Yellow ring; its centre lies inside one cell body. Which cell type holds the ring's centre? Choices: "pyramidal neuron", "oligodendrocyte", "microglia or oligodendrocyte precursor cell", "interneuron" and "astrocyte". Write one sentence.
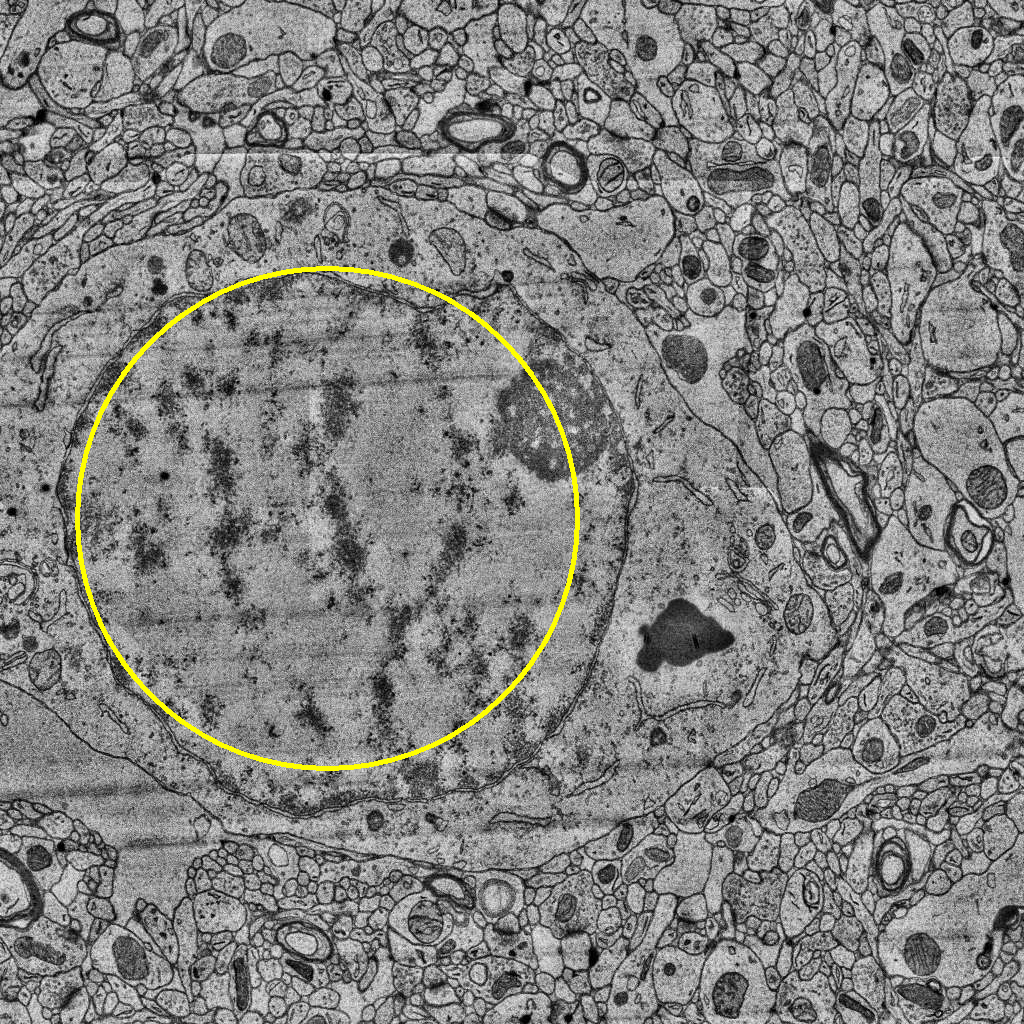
At the centre of the ring sits an interneuron.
